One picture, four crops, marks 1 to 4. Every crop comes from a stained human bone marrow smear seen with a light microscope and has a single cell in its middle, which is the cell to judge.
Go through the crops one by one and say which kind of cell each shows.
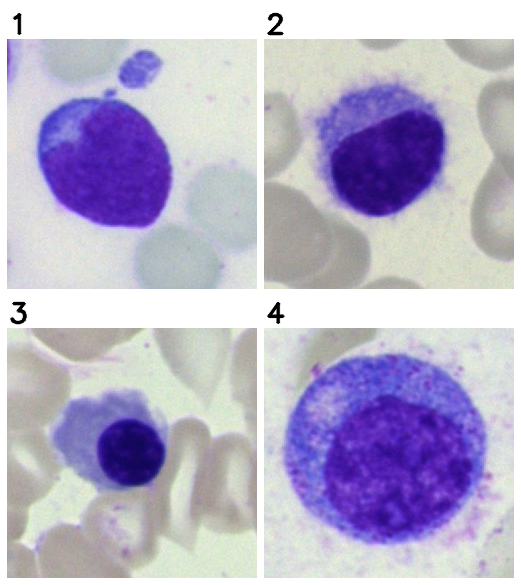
1: blast
2: hairy cell
3: normoblast
4: promyelocyte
